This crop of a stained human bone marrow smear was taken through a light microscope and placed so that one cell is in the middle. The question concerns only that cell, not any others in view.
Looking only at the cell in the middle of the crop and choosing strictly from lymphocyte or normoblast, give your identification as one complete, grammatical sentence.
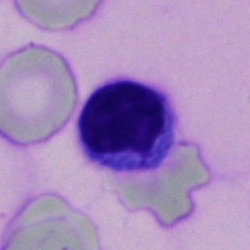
The cell positioned in the middle of the field is a lymphocyte.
